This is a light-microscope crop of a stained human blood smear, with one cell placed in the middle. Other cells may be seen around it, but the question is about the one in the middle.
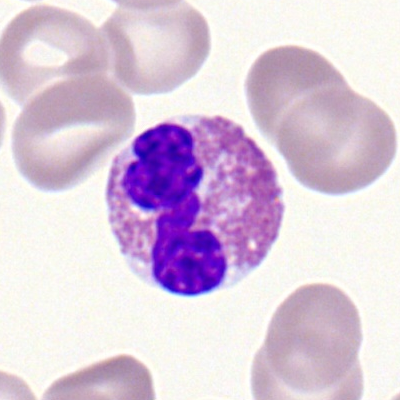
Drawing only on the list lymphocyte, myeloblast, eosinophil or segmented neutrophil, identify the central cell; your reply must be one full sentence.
What sits at the centre of this crop is an eosinophil.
